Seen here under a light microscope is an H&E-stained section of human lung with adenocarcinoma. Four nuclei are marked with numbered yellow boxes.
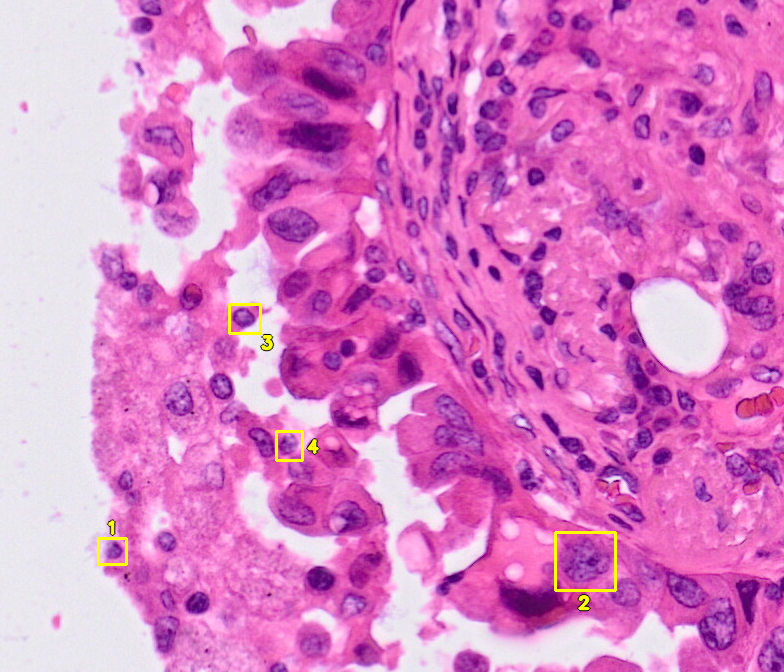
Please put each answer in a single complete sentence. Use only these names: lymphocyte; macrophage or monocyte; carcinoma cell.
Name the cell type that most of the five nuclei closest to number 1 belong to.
Most of the five nuclei nearest to number 1 are those of macrophages or monocytes.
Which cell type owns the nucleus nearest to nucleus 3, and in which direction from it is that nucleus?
Just below and to the left of nucleus 3 lies the nearest nucleus, which belongs to a macrophage or monocyte.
